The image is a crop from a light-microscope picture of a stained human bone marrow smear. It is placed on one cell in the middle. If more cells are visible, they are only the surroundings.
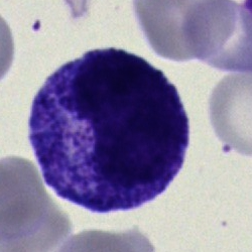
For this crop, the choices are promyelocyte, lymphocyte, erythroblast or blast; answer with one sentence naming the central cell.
The centrally positioned cell in the crop represents a promyelocyte.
